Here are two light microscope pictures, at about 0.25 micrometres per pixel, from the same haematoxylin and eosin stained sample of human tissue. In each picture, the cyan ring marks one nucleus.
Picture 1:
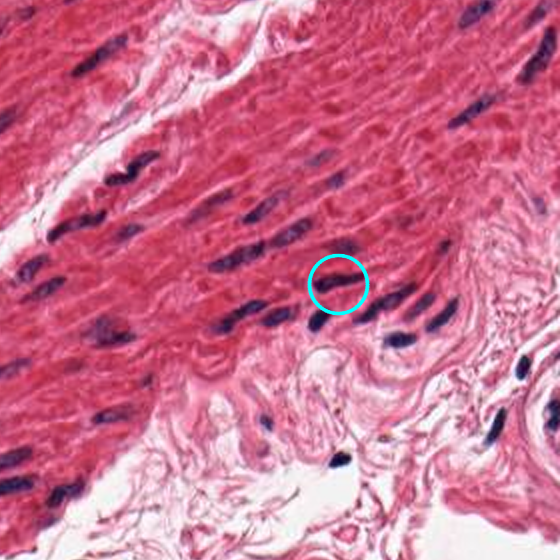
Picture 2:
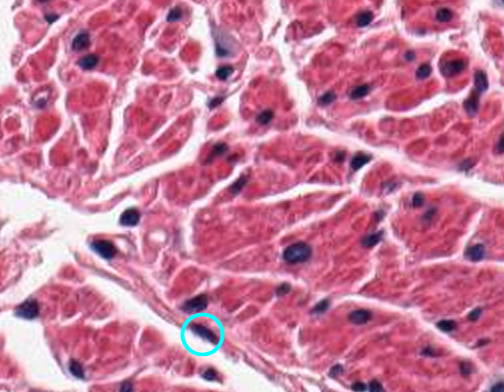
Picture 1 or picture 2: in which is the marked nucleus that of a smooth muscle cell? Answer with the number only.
1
